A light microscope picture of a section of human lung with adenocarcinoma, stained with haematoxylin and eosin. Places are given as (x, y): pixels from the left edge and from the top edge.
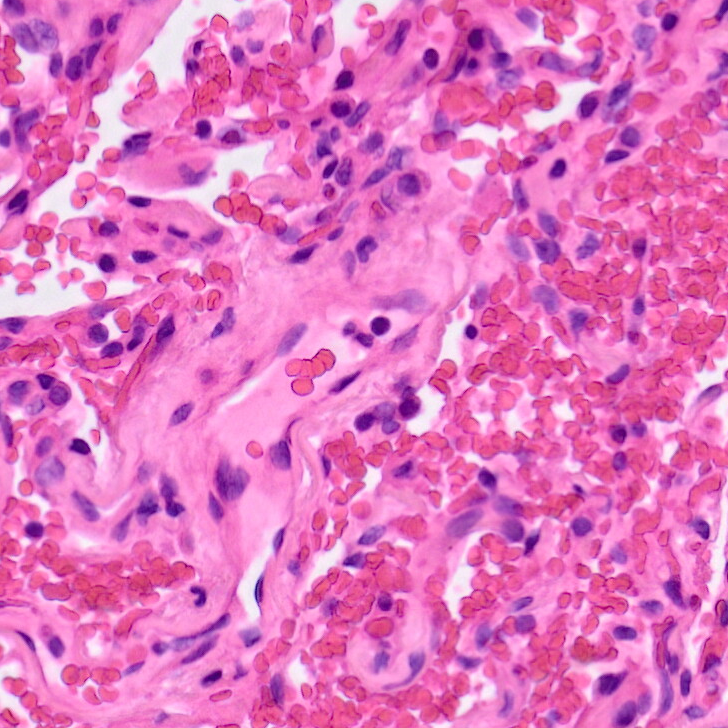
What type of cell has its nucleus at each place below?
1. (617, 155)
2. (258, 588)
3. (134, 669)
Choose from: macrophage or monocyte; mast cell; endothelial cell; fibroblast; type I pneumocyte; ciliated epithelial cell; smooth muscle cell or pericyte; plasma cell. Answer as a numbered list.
1. type I pneumocyte
2. endothelial cell
3. endothelial cell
